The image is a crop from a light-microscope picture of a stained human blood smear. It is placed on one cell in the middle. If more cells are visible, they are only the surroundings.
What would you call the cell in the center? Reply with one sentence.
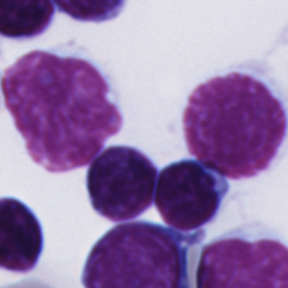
This particular crop is centered on a myeloblast.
